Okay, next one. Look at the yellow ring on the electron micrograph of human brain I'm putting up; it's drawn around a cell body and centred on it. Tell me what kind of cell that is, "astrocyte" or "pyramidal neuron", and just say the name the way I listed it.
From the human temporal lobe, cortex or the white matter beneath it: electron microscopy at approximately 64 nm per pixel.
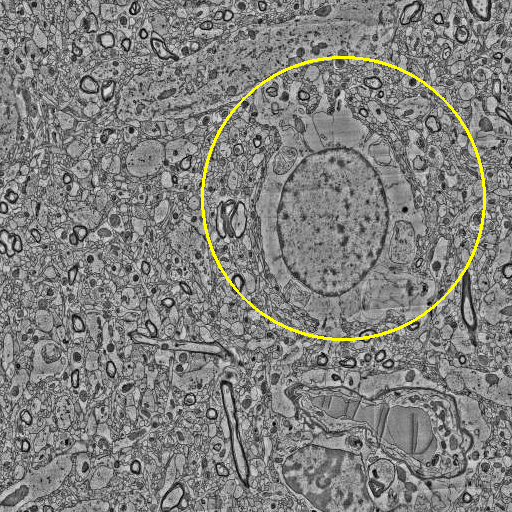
astrocyte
